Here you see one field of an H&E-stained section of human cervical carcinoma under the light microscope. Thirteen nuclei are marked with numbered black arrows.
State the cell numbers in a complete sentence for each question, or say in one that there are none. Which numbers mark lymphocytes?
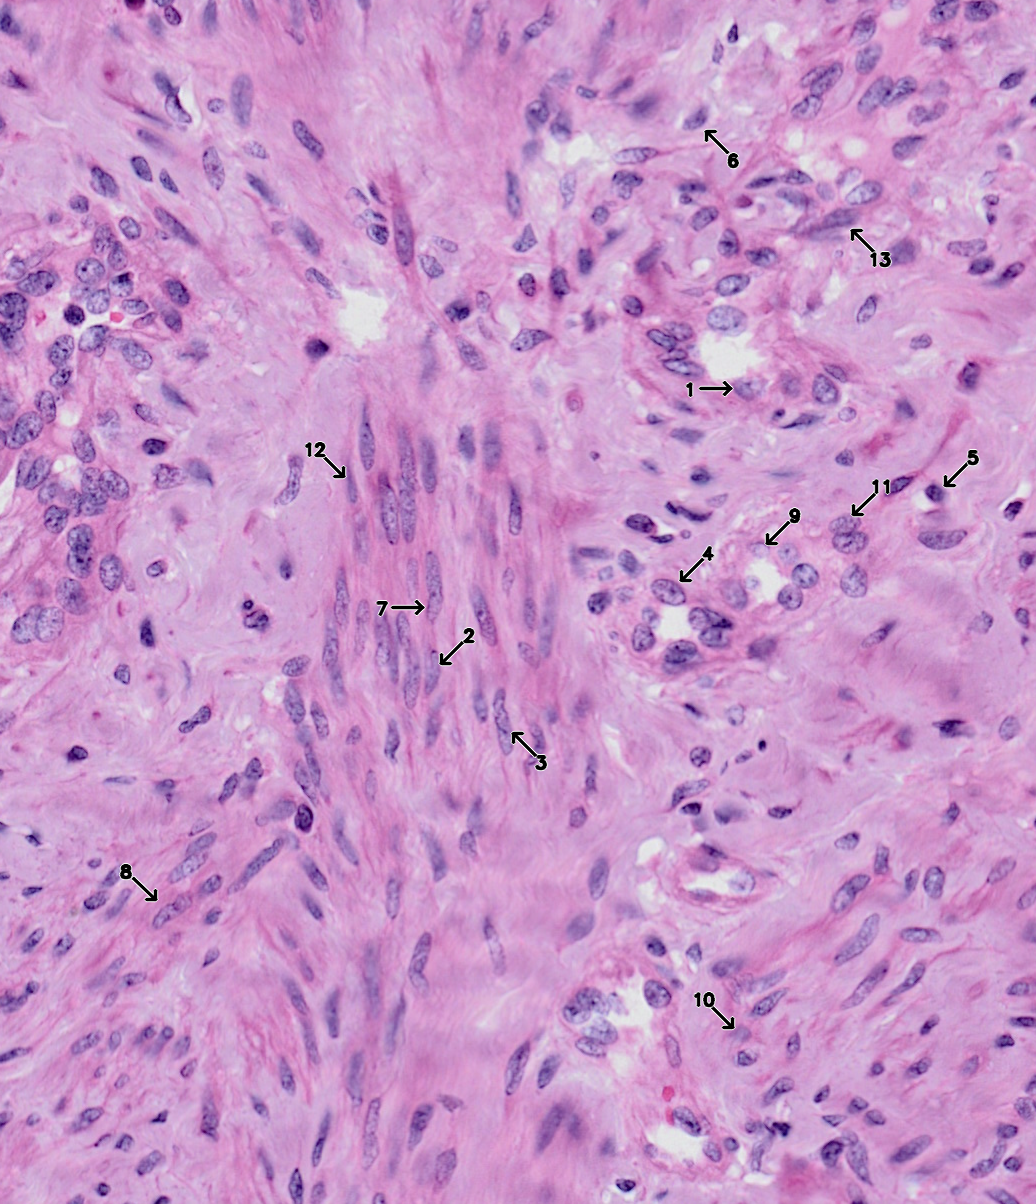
As for the numbered cells, only cell 5 is a lymphocyte.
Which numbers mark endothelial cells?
Cells 1, 4, 9, 11 and 13 are classified as endothelial cells.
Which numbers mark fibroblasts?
With the exception of cell 6, no marked cell is a fibroblast.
